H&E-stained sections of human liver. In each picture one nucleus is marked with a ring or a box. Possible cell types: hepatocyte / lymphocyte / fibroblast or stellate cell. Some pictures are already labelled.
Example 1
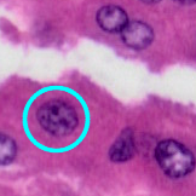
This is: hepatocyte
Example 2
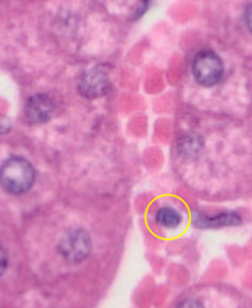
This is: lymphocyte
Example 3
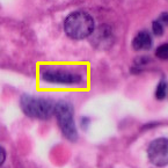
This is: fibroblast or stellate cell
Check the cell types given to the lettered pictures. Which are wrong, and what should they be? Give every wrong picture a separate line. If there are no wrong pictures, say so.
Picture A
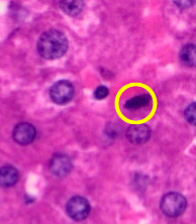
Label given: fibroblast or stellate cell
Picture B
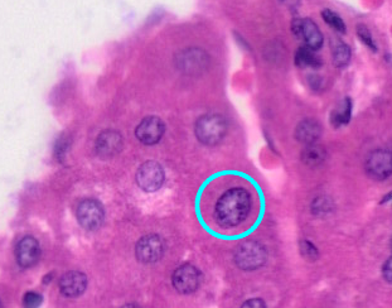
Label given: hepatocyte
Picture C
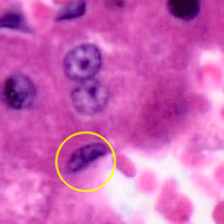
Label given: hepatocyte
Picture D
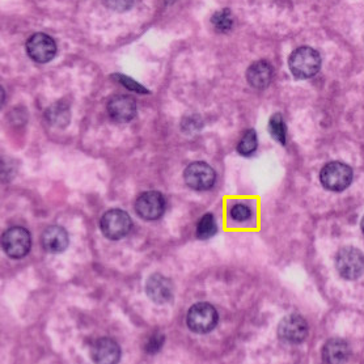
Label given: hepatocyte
C should be fibroblast or stellate cell, not hepatocyte
D should be lymphocyte, not hepatocyte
